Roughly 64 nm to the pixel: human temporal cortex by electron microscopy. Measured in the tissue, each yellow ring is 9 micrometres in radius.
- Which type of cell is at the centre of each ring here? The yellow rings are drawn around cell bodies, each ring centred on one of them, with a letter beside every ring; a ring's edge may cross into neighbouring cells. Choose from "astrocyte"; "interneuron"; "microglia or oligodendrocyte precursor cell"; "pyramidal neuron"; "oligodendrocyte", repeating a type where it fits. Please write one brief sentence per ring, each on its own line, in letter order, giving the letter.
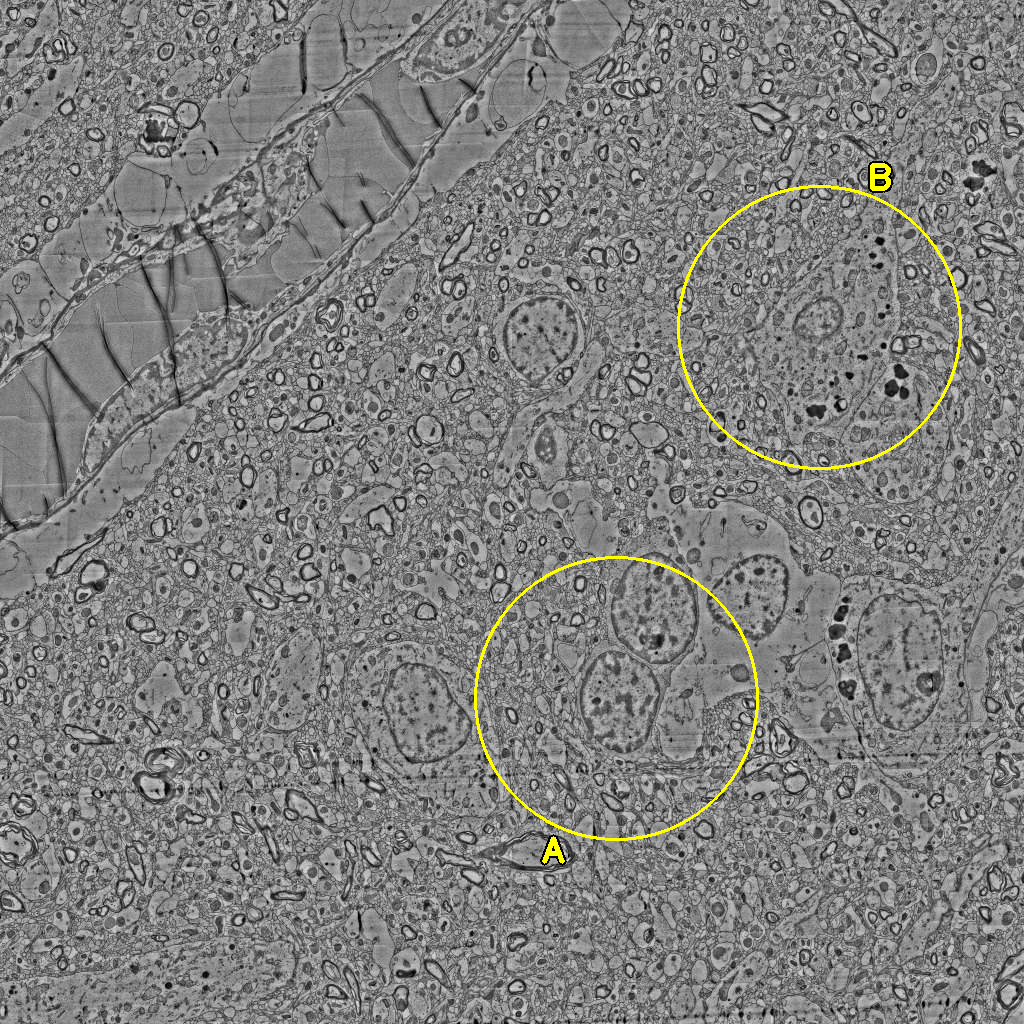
Ring A is centred over an oligodendrocyte.
Ring B is centred over a pyramidal neuron.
